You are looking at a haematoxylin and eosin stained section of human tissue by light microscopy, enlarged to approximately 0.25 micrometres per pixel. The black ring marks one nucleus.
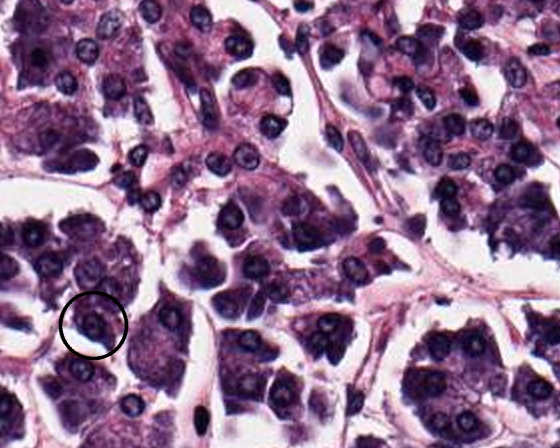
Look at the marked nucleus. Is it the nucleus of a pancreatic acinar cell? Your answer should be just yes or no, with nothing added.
yes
